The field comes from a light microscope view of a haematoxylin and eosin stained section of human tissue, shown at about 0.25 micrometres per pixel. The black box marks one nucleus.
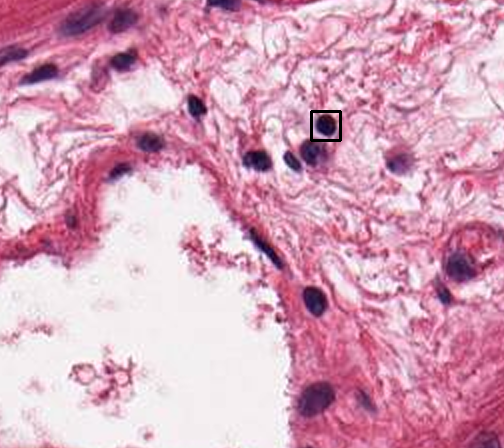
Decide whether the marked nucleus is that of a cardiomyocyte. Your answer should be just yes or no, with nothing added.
no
